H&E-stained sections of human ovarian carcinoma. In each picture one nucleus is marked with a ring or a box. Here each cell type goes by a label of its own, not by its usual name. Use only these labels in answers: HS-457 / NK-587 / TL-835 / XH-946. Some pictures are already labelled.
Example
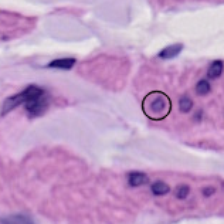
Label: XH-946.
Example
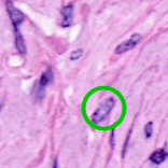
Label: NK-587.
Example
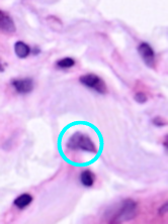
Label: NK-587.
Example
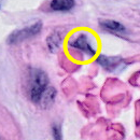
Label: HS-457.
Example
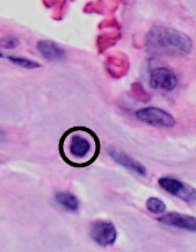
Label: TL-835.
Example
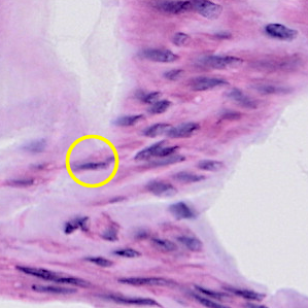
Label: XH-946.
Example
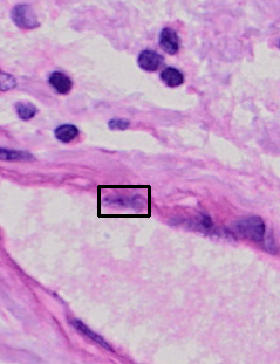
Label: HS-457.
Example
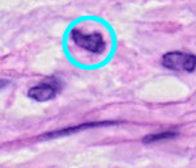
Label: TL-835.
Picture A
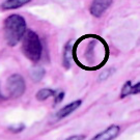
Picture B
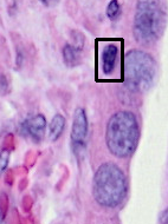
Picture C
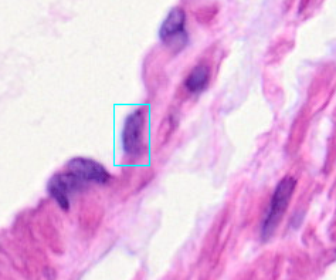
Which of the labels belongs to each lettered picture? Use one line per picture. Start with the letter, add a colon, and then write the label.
A: NK-587.
B: TL-835.
C: HS-457.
